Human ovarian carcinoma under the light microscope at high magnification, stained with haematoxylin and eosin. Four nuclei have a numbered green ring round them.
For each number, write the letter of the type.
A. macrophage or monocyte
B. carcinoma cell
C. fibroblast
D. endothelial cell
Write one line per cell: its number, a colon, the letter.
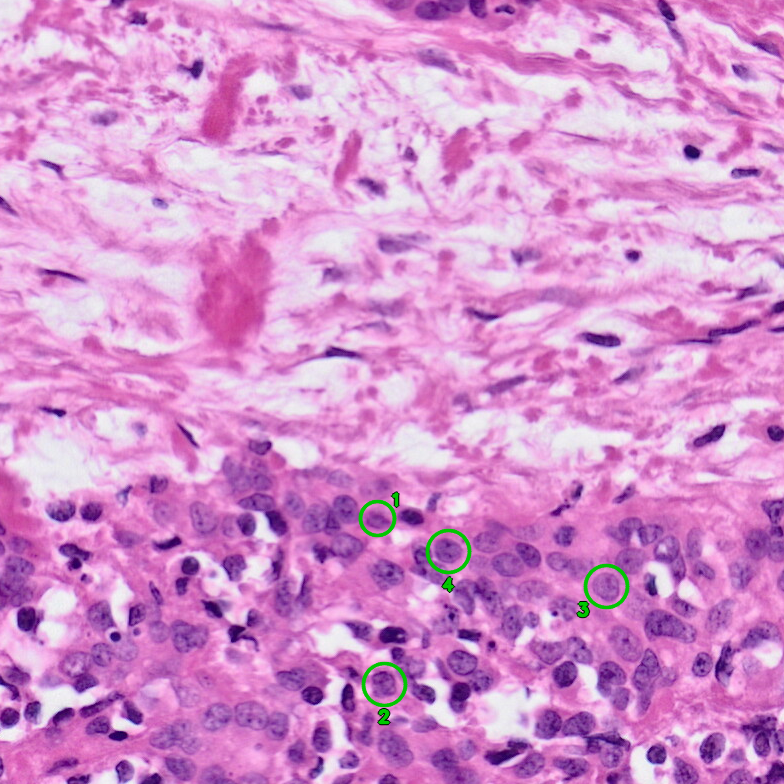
1: B
2: A
3: B
4: B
